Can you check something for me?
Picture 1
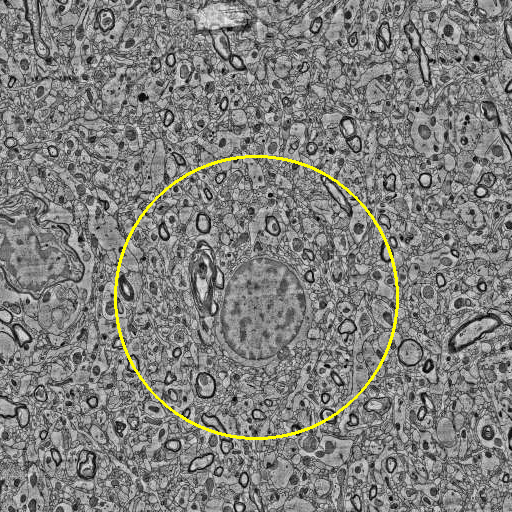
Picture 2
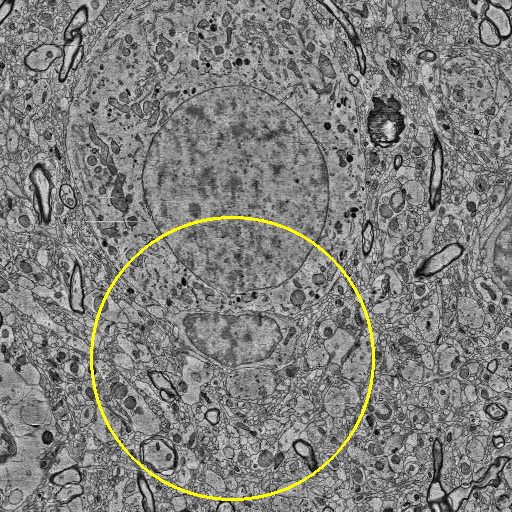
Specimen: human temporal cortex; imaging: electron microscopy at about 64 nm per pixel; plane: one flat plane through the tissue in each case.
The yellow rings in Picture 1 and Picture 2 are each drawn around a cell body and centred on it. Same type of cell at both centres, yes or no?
yes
